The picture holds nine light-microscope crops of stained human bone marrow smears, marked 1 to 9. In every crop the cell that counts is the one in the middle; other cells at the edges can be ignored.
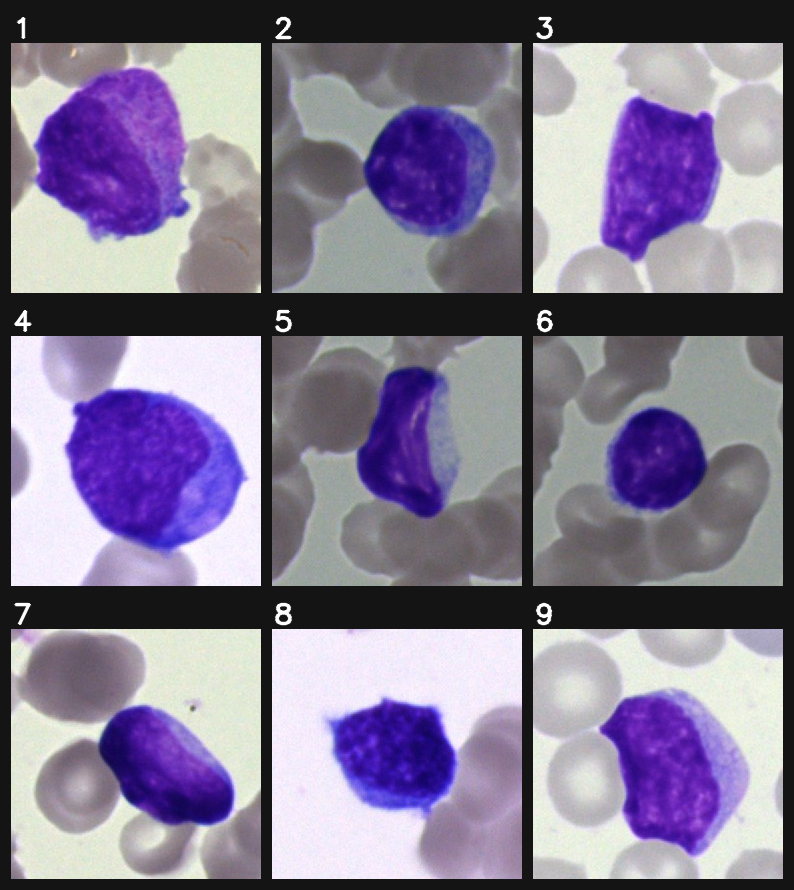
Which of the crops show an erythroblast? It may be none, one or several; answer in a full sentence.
What none of the crops shows is an erythroblast.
